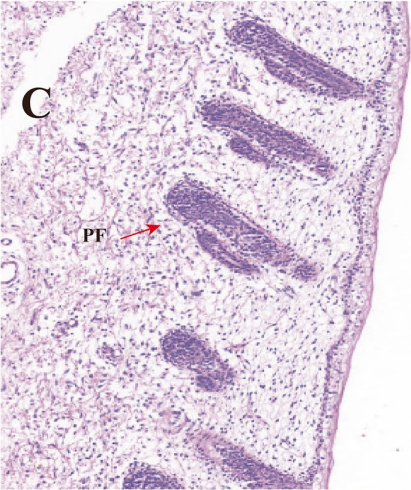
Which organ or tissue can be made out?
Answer: Skin.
